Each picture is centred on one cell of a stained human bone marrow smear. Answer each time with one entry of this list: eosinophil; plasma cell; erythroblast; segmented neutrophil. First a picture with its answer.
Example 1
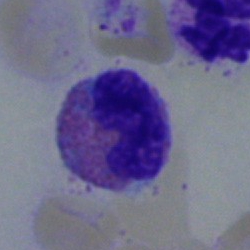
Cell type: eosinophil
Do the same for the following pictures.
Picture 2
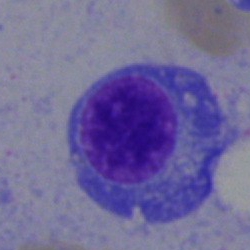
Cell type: plasma cell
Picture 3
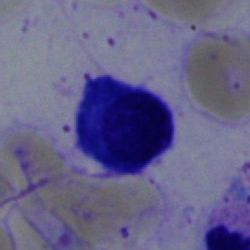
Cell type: plasma cell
